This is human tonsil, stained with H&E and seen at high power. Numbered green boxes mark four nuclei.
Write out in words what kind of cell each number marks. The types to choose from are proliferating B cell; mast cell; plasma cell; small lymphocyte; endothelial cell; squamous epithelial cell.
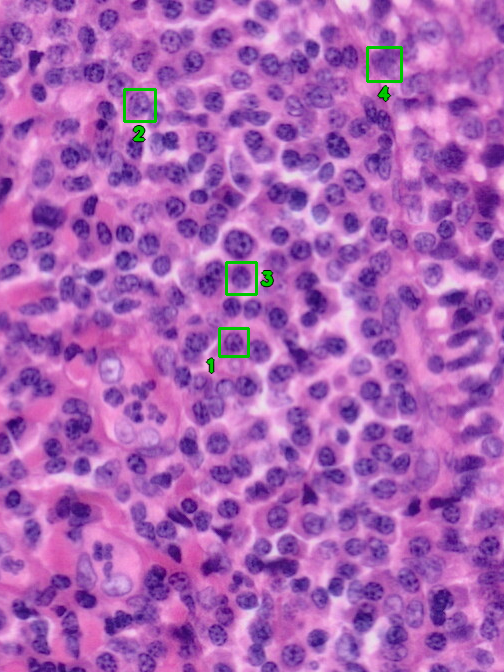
Cells 1, 2 and 3 are plasma cells. Cell 4 is a squamous epithelial cell.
